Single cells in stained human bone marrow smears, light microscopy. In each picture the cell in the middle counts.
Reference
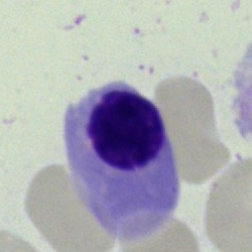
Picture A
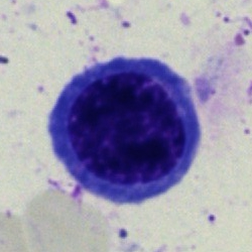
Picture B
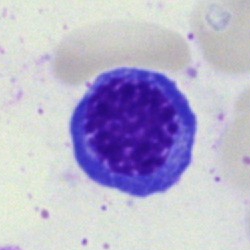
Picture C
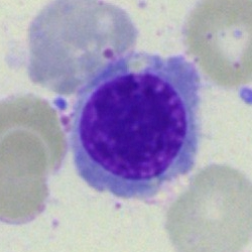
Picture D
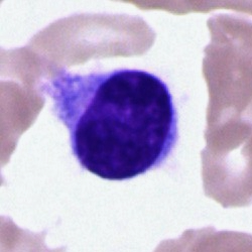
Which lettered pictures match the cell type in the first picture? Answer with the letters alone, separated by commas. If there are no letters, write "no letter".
A, B, C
